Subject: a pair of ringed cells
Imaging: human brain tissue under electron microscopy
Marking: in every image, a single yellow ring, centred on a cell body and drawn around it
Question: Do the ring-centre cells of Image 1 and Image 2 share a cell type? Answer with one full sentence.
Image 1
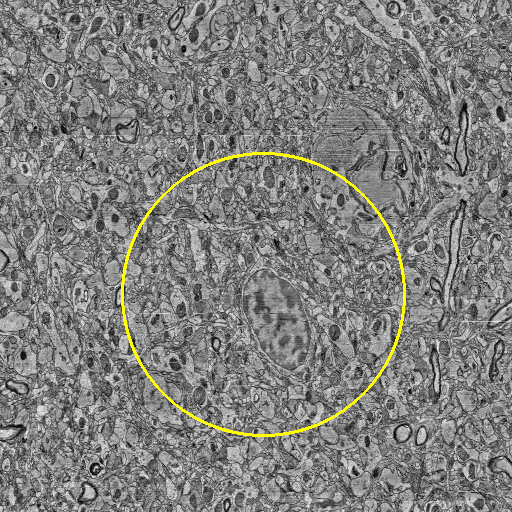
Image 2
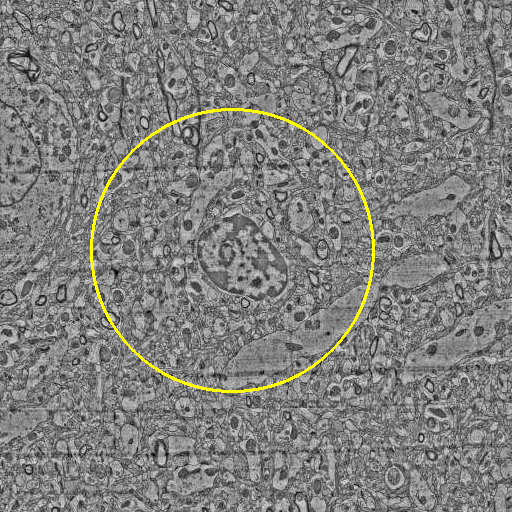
Yes, at each ring's centre in the images sits a cell of one common type.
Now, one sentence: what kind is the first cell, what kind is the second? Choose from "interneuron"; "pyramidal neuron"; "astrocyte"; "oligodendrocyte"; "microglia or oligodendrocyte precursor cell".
Each cell at the centre of a ring is a microglial cell or oligodendrocyte precursor cell.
